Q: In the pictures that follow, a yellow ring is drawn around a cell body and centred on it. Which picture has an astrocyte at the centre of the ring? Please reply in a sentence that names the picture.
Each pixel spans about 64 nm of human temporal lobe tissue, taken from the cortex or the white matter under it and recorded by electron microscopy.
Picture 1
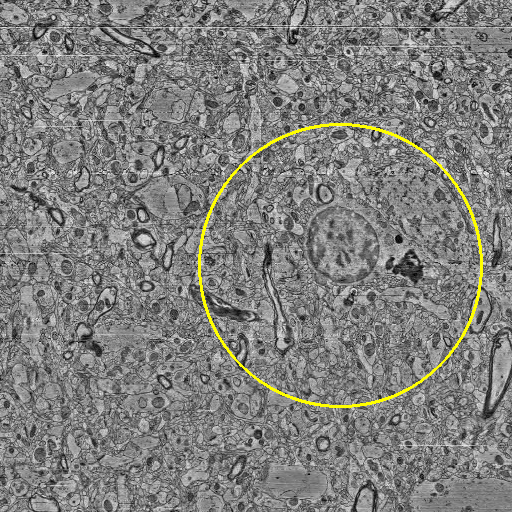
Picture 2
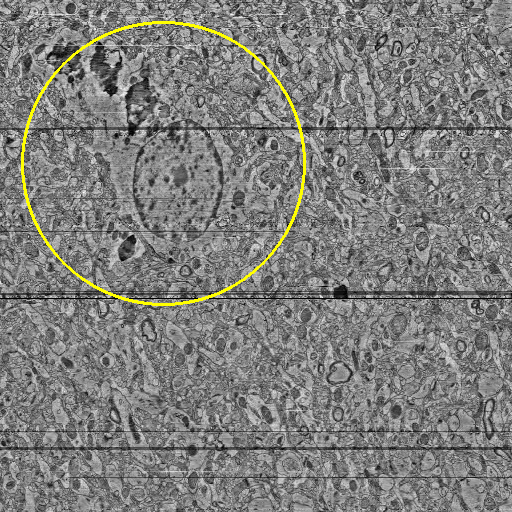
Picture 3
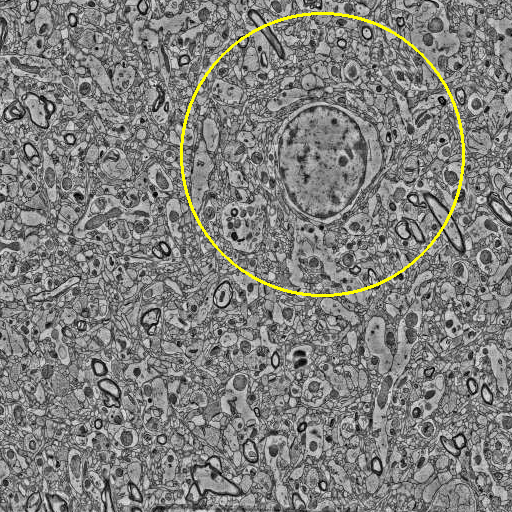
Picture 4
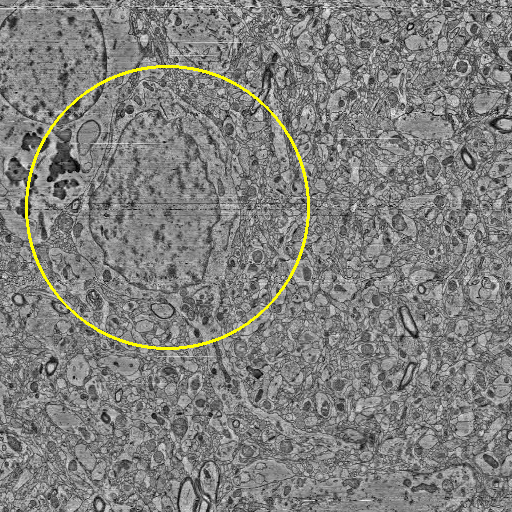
Picture 2 shows it at the centre of its ring.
